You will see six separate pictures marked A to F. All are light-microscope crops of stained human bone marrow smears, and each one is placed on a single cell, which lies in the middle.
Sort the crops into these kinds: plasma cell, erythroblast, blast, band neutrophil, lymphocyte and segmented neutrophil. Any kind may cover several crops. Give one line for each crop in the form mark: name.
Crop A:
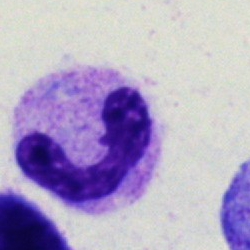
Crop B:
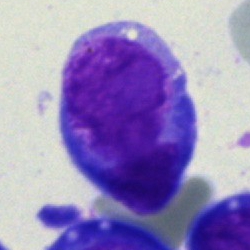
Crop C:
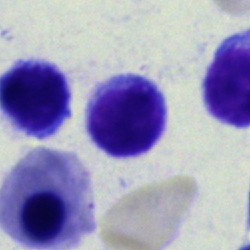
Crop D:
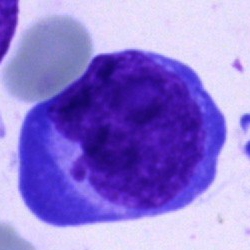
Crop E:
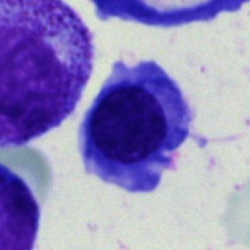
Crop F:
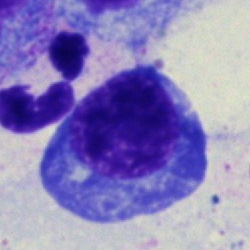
A: band neutrophil
B: blast
C: lymphocyte
D: blast
E: erythroblast
F: plasma cell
